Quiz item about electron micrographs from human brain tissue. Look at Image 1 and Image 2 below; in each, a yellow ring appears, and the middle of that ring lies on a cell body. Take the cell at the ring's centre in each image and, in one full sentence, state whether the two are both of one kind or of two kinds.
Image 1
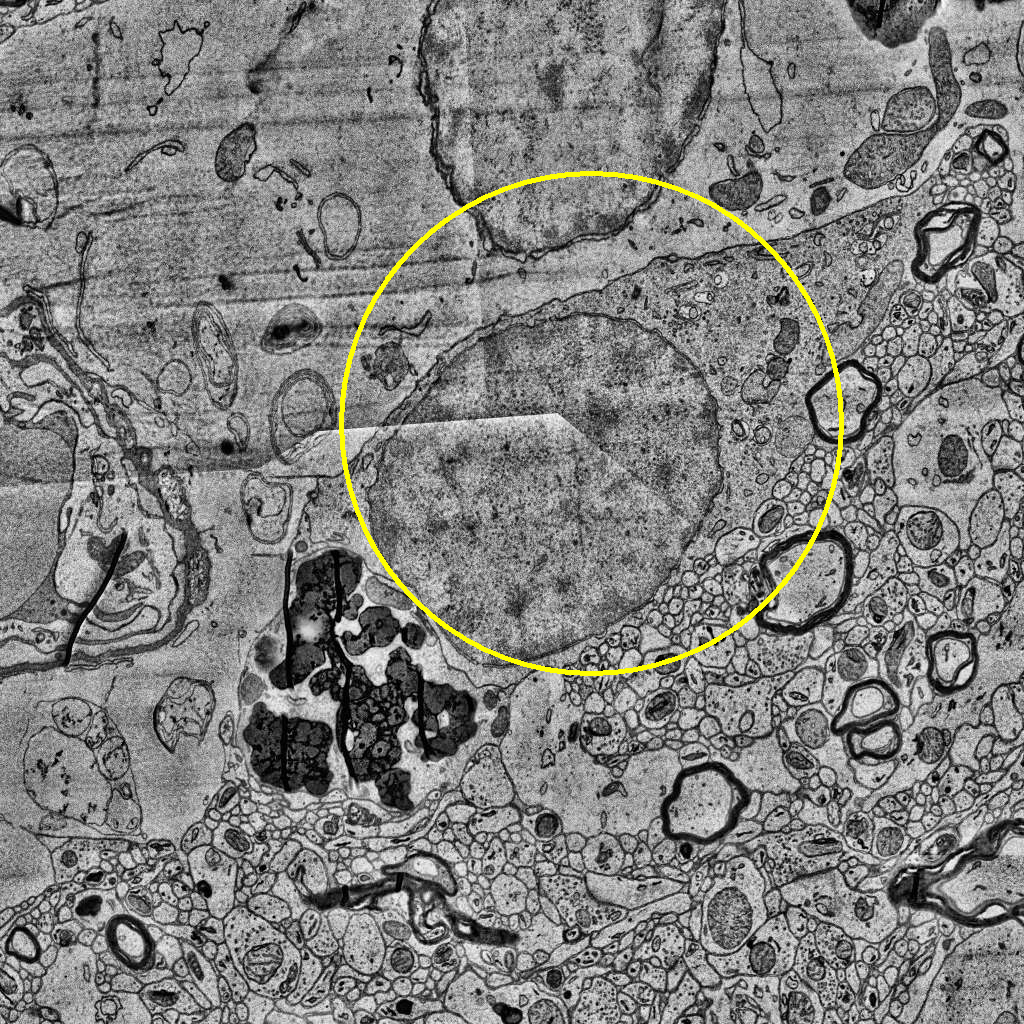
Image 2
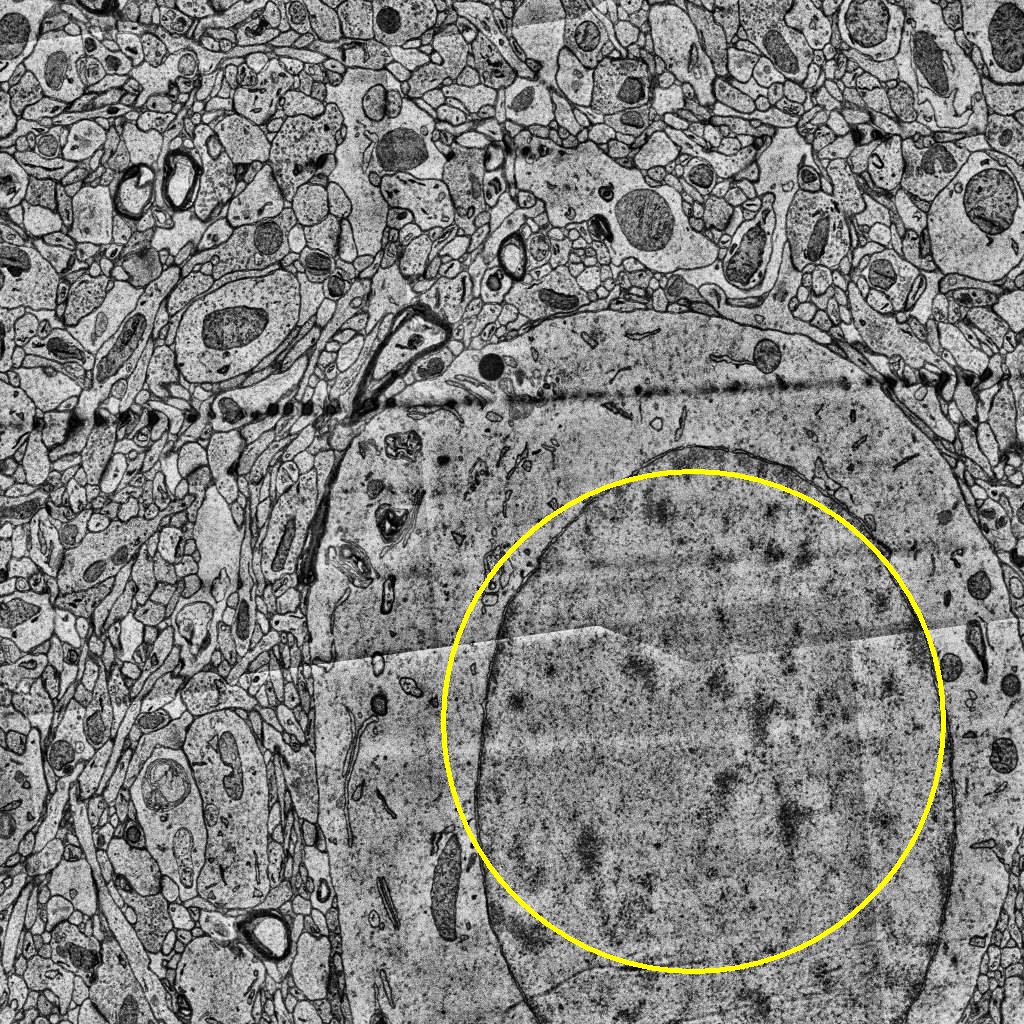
In Image 1 and Image 2, the cells at the ring centres are of two kinds.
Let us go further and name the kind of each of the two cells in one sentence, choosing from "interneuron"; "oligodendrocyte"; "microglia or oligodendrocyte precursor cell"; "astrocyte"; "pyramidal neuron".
The cell at the centre of the ring is an oligodendrocyte in the first picture and a pyramidal neuron in the second.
